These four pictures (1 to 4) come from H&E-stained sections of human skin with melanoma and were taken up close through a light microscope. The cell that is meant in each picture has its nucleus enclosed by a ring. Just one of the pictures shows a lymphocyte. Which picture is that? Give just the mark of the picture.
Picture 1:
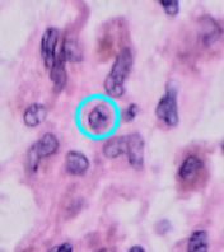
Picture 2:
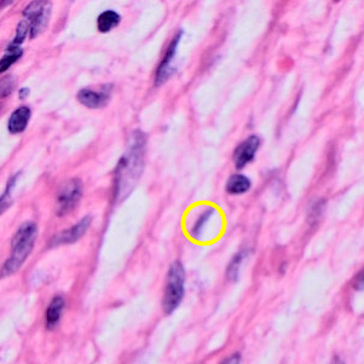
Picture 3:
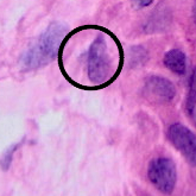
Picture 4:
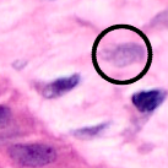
1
